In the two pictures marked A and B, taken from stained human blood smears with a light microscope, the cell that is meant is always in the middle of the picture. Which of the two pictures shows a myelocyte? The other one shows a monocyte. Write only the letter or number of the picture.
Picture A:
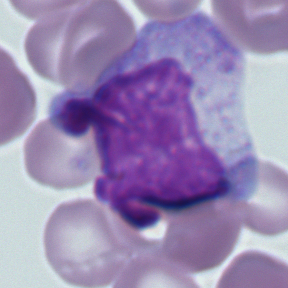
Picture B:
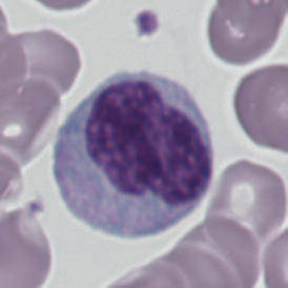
A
